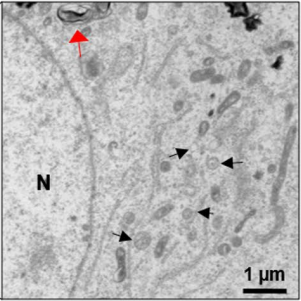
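The nucleus occupies the left, bounded by a clear nuclear envelope. Many mitochondria, oval to elongated and fairly small, cluster in the right half among membrane profiles. At the upper edge lies a dark body with concentric layered membranes, a lamellar body. The overall cytoplasm appears lighter than in a well-preserved cell, with sparse dense granules.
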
